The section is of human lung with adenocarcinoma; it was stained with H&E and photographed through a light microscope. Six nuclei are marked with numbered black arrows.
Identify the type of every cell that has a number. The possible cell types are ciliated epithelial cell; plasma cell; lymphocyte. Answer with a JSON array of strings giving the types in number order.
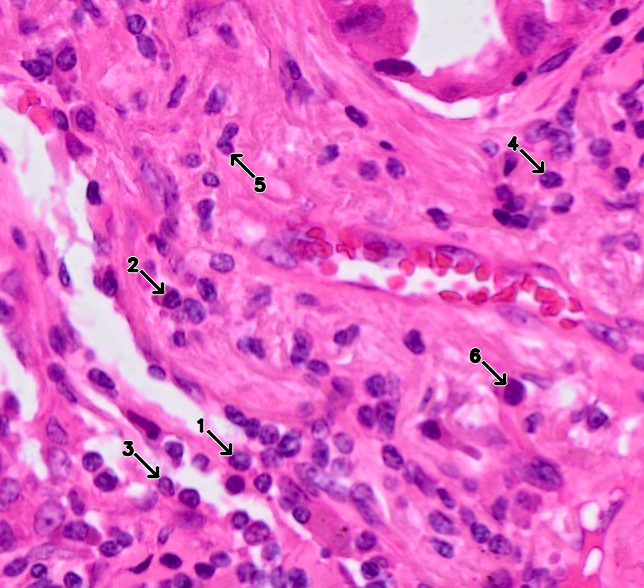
["lymphocyte", "plasma cell", "lymphocyte", "lymphocyte", "lymphocyte", "plasma cell"]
